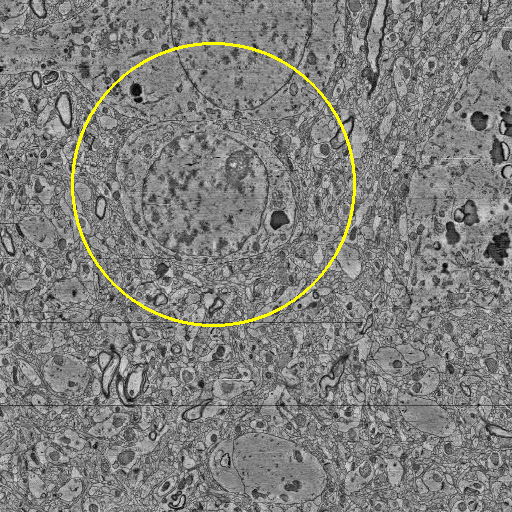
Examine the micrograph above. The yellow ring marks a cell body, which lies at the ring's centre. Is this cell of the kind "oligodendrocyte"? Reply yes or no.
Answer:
no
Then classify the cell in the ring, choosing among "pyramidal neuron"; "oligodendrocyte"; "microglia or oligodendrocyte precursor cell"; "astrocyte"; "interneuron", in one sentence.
The correct answer is that the cell is an interneuron.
